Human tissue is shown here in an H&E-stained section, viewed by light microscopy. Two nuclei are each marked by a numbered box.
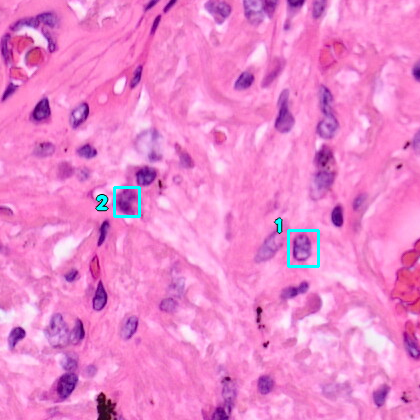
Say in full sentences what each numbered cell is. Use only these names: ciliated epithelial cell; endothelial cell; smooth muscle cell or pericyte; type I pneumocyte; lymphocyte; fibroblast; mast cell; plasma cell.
Cell 1 is a mast cell. Cell 2 is a plasma cell.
